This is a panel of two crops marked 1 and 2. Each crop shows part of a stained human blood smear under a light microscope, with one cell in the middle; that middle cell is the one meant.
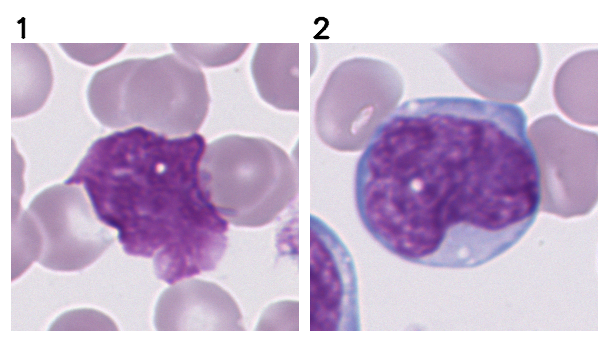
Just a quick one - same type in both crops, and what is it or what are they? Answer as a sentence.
No, the cell shown in crop 1 is a smudge cell, and the cell shown in crop 2 is a myeloblast.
